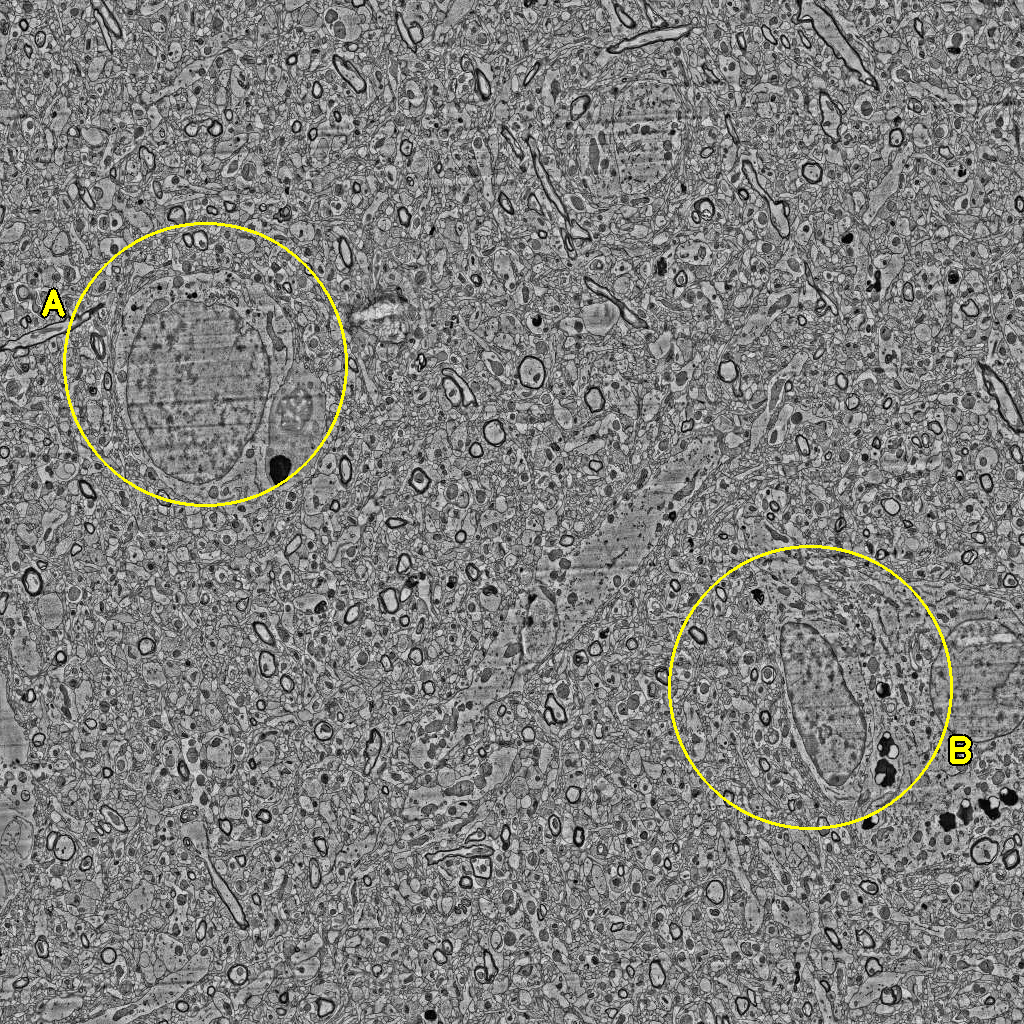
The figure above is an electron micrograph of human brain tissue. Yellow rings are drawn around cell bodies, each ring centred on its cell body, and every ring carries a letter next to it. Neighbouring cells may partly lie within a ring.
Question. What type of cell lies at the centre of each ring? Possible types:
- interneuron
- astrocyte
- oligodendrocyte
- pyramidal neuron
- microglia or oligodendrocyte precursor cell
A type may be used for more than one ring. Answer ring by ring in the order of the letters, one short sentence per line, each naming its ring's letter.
In ring A, the central cell is an interneuron.
In ring B, the central cell is a microglial cell or oligodendrocyte precursor cell.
